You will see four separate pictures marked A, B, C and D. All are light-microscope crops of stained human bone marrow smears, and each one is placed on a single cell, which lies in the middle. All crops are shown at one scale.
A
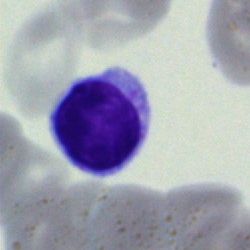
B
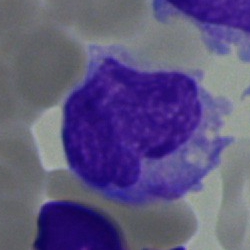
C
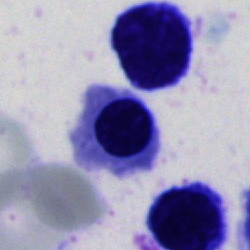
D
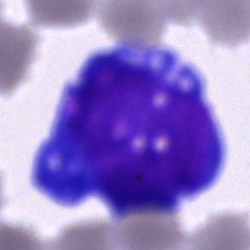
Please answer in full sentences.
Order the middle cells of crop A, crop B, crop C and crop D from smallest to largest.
Smallest first: C, A, B, D.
